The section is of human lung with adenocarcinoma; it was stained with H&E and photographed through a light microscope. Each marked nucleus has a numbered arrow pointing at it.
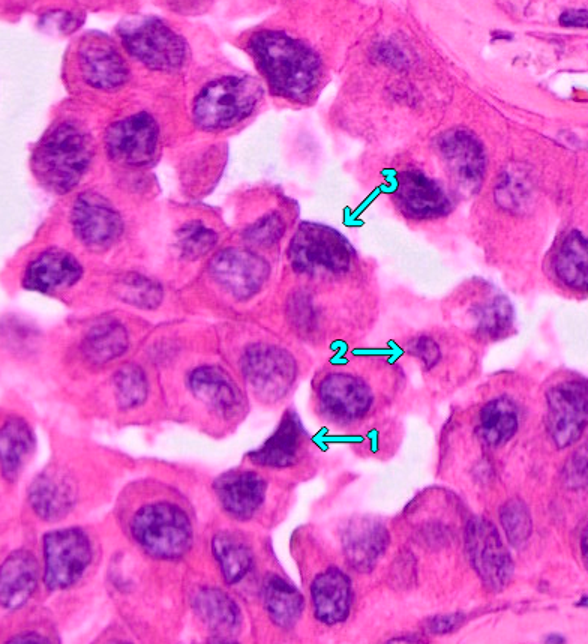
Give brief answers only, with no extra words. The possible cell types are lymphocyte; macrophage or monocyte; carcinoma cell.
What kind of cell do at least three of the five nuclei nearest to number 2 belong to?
carcinoma cell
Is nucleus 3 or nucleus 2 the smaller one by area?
2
